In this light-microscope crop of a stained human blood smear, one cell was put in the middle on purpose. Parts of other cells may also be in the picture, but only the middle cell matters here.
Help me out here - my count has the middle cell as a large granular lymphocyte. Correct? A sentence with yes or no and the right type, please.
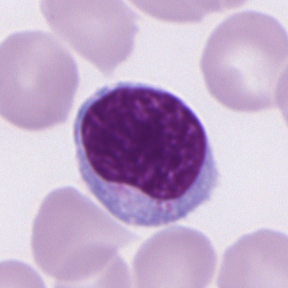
No, this one is a typical lymphocyte; it is not a large granular lymphocyte.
